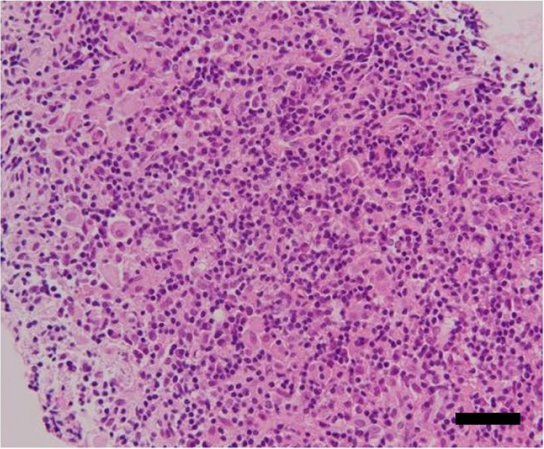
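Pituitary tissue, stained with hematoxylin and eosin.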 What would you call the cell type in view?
Large histiocytes and small lymphocytes.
